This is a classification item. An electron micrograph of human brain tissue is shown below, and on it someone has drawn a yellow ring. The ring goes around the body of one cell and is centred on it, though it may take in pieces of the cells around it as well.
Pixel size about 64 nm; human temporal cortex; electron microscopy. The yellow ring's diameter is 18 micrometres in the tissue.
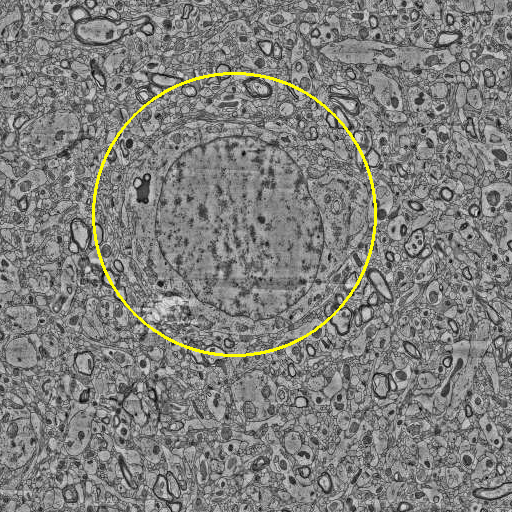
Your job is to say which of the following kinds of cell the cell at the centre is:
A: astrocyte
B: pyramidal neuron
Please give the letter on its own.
B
